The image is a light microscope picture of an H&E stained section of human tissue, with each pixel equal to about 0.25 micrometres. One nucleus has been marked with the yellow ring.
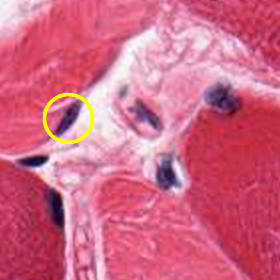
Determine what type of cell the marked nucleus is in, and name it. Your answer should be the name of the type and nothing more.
skeletal muscle fibre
